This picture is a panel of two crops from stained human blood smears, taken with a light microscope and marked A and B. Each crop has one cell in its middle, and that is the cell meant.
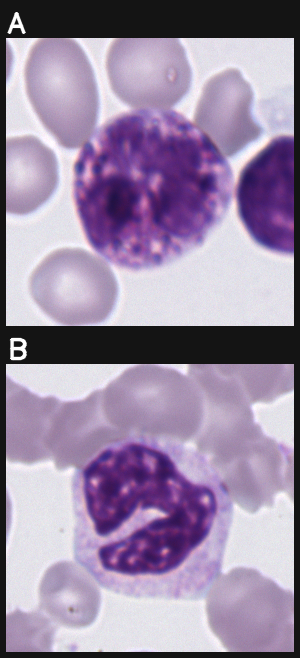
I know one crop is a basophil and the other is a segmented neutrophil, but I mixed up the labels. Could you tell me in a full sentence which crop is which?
There is a basophil in crop A and a segmented neutrophil in crop B.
